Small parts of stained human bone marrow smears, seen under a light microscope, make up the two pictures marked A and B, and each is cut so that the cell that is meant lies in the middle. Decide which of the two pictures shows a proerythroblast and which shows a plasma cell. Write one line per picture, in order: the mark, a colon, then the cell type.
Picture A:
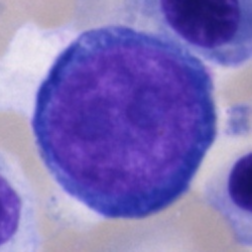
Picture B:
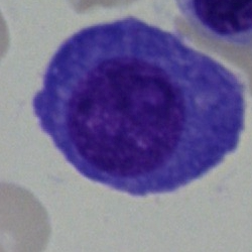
A: proerythroblast
B: plasma cell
